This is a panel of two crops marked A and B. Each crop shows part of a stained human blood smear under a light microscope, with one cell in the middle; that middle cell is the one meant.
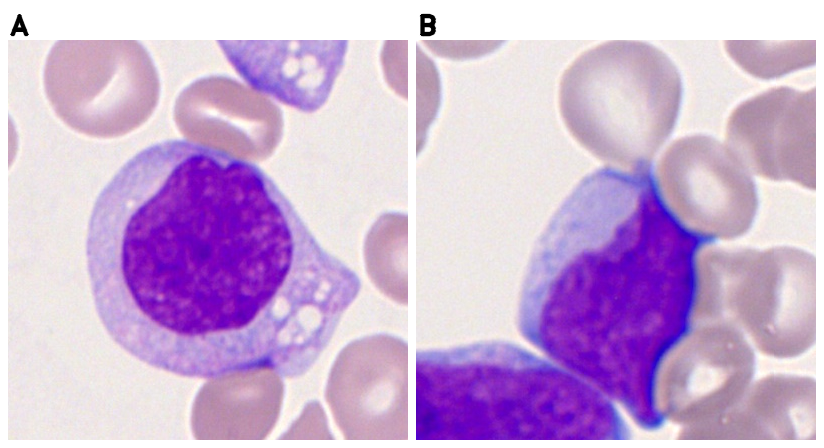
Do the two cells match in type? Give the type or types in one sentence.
No, crop A corresponds to a monocyte, while crop B corresponds to a myeloblast.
